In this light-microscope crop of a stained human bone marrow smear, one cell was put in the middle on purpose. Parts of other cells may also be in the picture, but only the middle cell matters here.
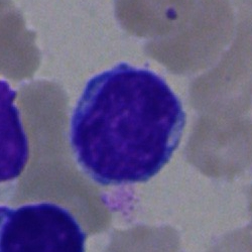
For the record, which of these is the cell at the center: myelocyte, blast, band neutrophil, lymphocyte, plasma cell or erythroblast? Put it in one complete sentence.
On this slide crop, the central cell is a lymphocyte.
